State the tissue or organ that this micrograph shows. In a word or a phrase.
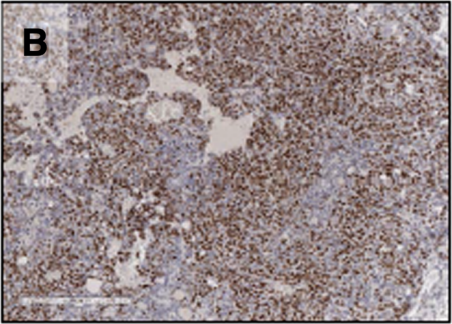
Tumor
